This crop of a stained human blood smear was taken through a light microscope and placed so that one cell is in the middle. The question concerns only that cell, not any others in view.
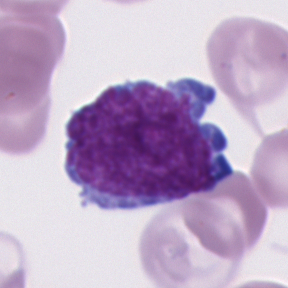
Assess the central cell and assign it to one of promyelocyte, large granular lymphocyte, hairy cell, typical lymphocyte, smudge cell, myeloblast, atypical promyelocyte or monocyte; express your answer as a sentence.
In the middle of this smear crop is a myeloblast.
